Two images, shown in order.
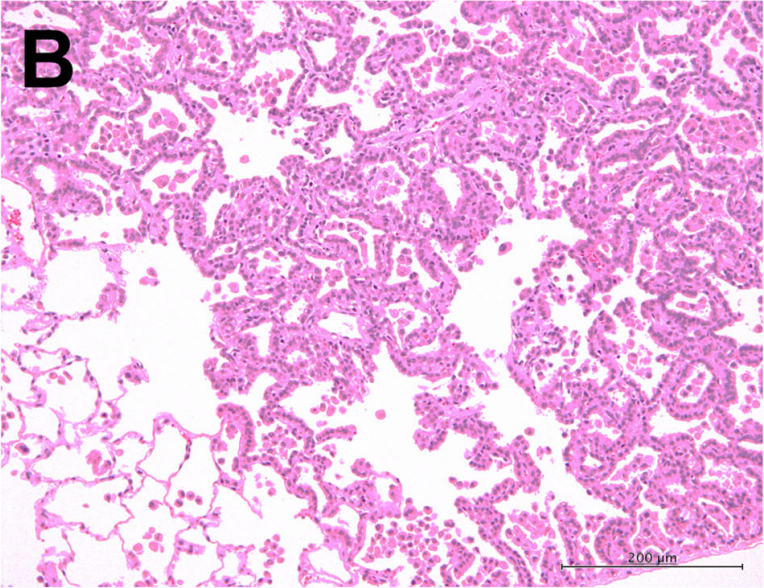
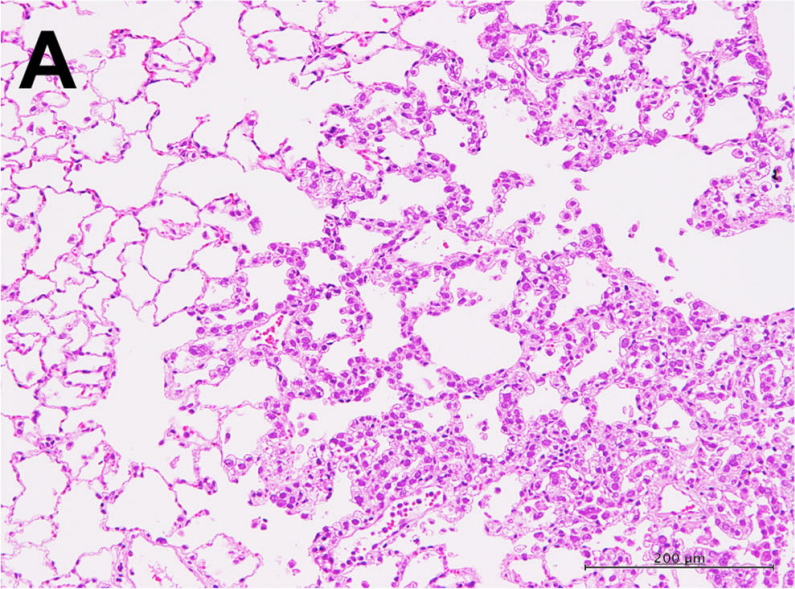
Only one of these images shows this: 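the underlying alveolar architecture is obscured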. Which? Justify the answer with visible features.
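First image: crowded epithelium forms branching papillary structures, and the alveolar outlines are hard to trace. Second image: open alveoli with walls lined by a single layer of cells are still clearly recognisable. The answer: the first image.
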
